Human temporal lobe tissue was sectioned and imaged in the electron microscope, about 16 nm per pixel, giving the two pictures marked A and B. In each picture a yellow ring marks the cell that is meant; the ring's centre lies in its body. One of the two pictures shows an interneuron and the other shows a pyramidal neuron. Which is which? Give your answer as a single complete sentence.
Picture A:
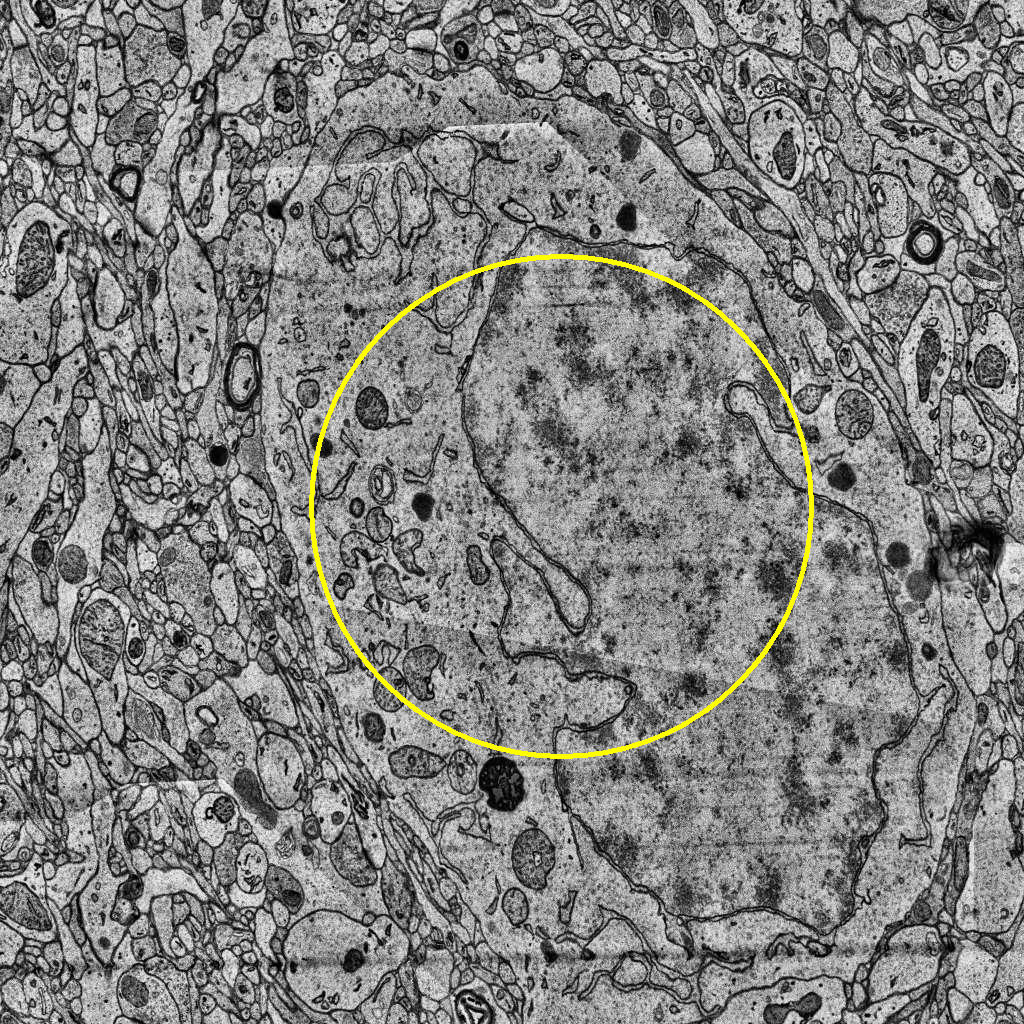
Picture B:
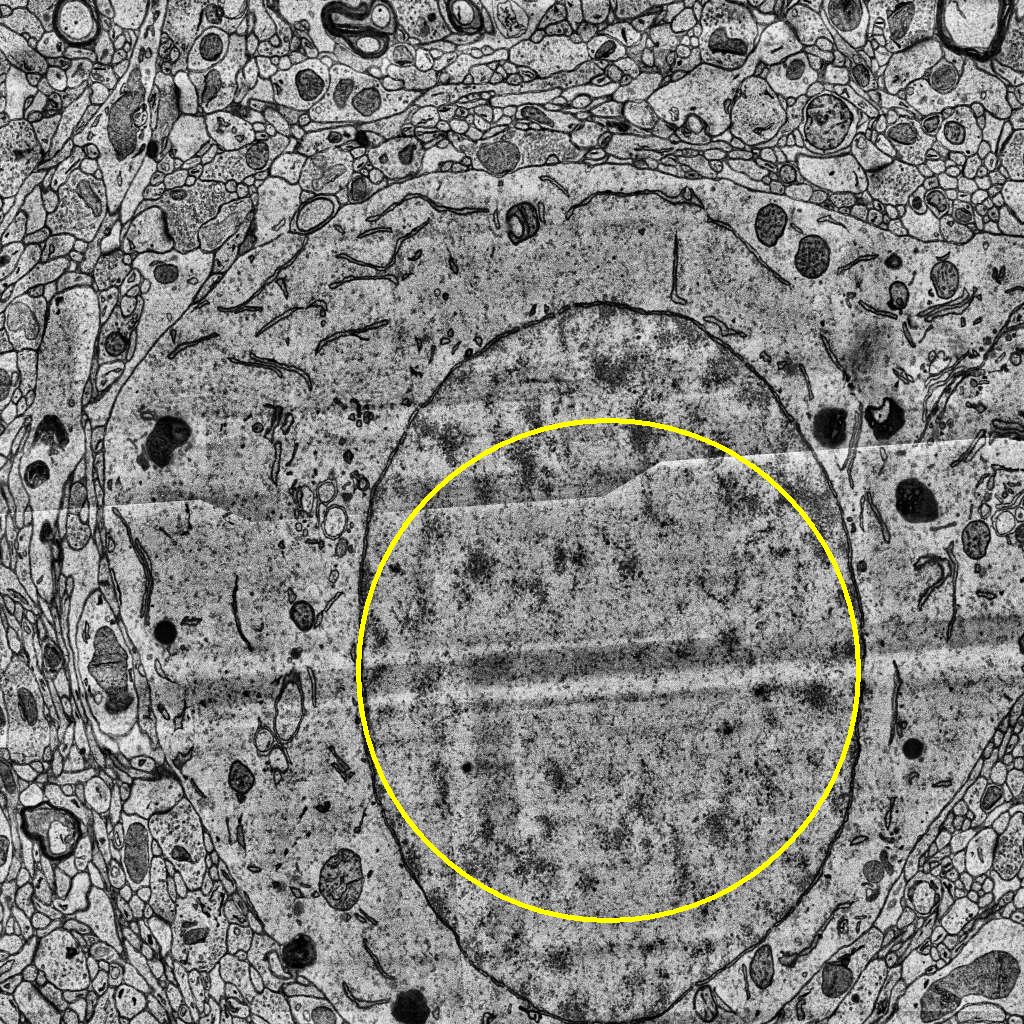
Picture A is of an interneuron, and picture B is of a pyramidal neuron.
